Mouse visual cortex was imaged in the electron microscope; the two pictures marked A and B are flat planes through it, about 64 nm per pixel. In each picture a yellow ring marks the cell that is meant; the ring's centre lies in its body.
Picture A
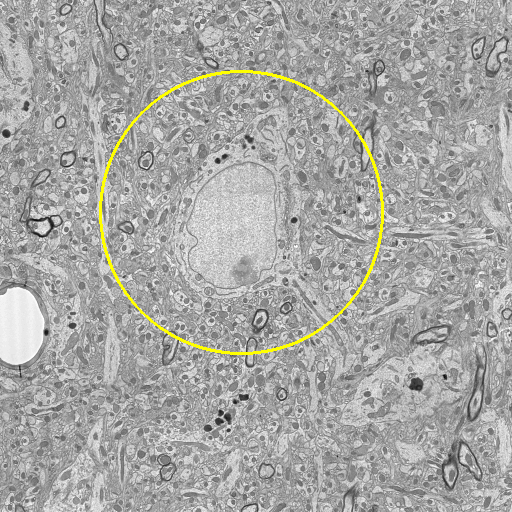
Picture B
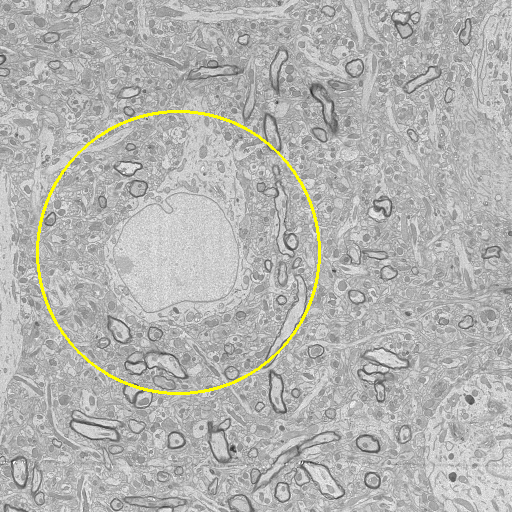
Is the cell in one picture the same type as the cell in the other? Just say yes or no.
yes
